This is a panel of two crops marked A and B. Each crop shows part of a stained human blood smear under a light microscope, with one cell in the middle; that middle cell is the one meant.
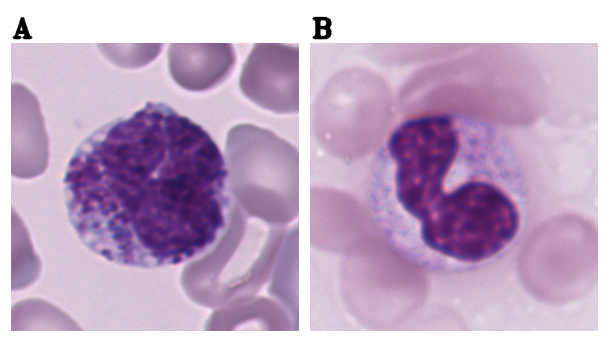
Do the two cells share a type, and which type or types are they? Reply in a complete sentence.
No, on this set crop A shows a basophil and crop B shows a segmented neutrophil.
